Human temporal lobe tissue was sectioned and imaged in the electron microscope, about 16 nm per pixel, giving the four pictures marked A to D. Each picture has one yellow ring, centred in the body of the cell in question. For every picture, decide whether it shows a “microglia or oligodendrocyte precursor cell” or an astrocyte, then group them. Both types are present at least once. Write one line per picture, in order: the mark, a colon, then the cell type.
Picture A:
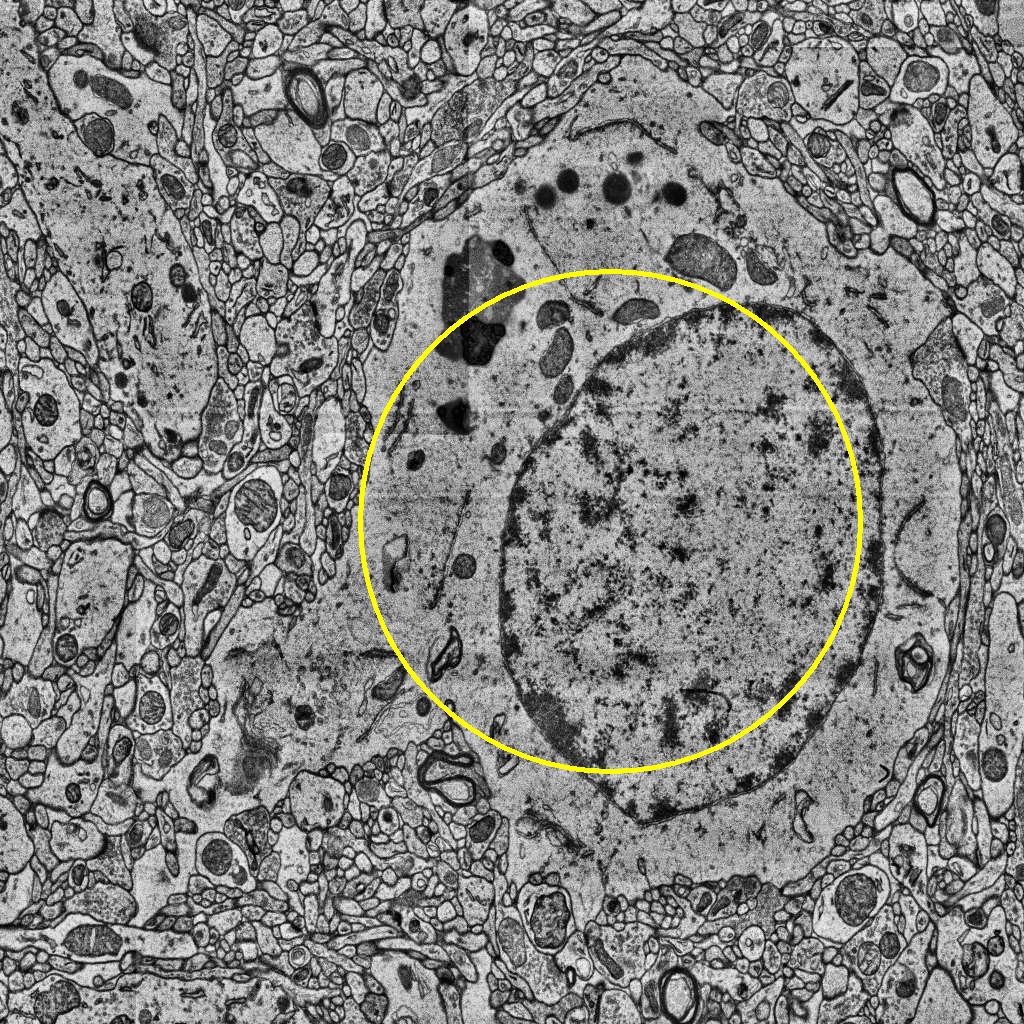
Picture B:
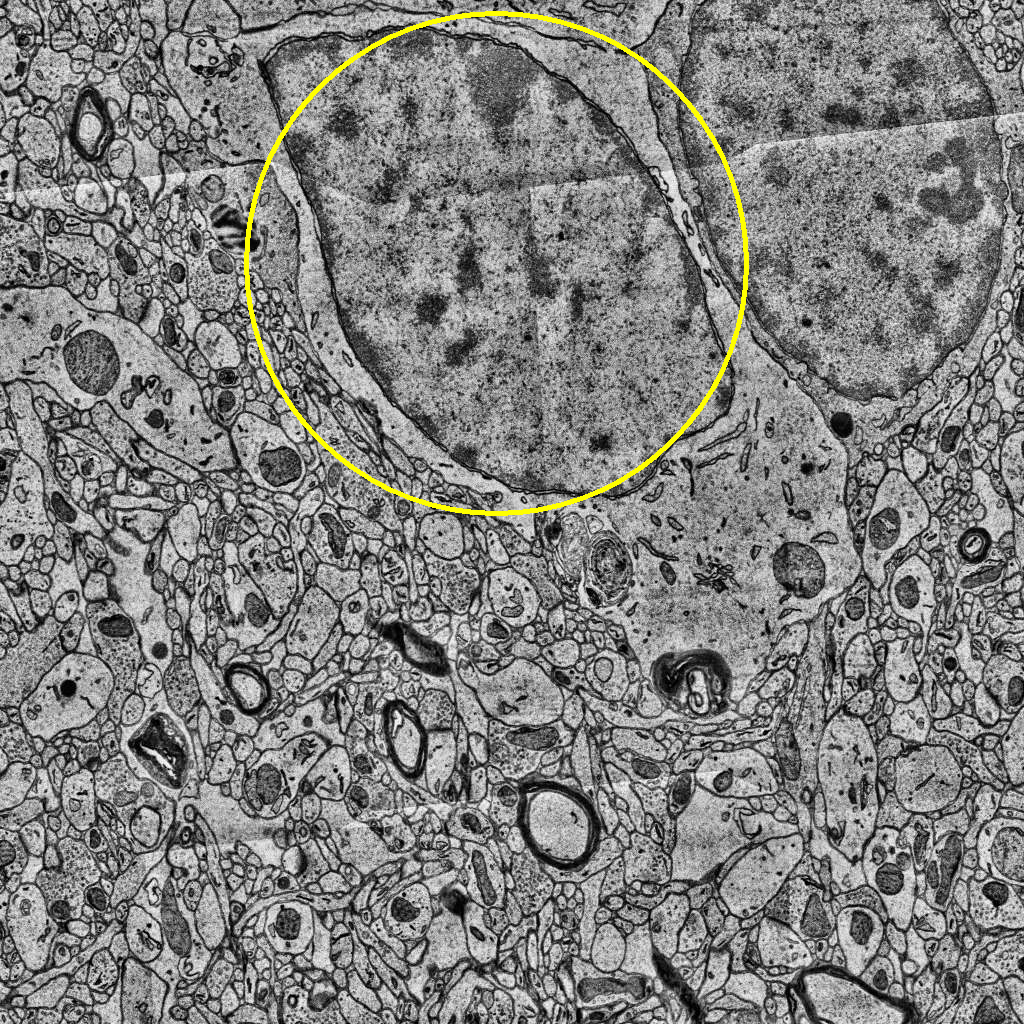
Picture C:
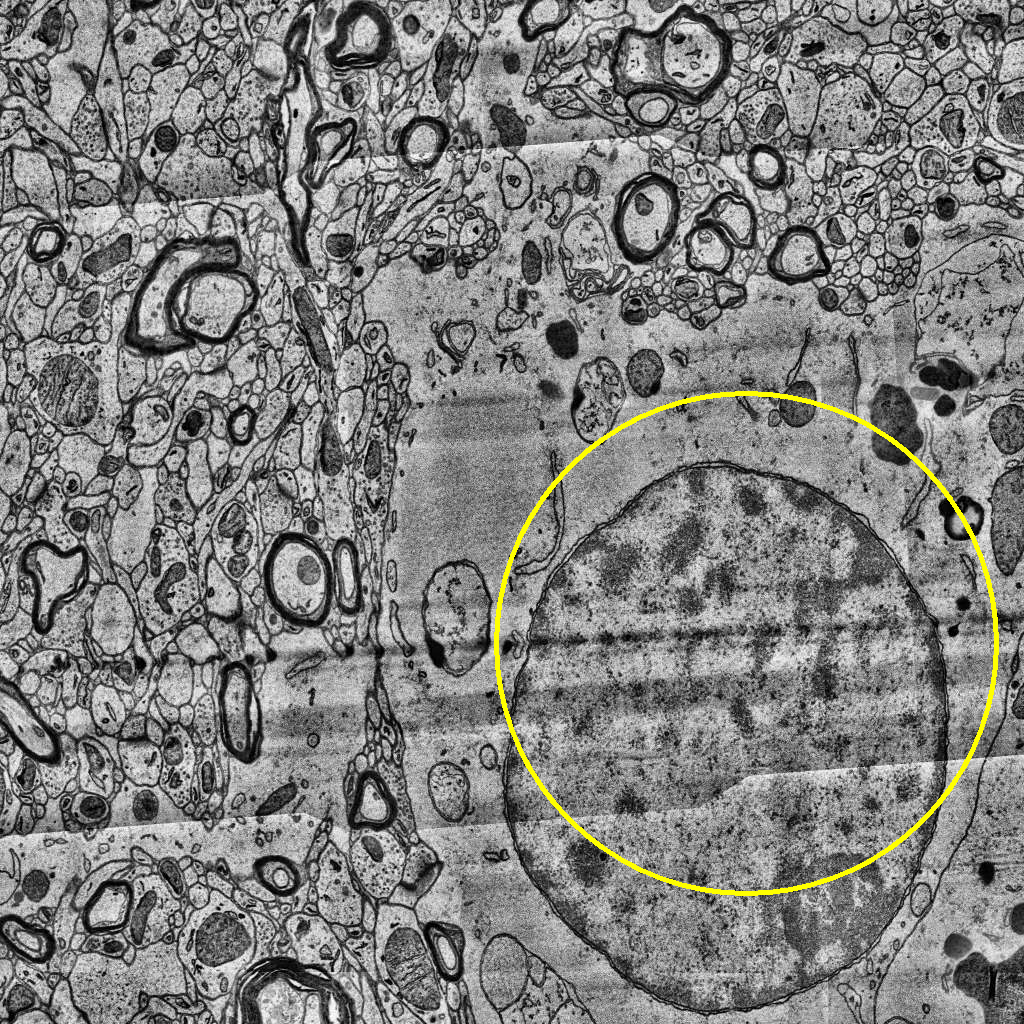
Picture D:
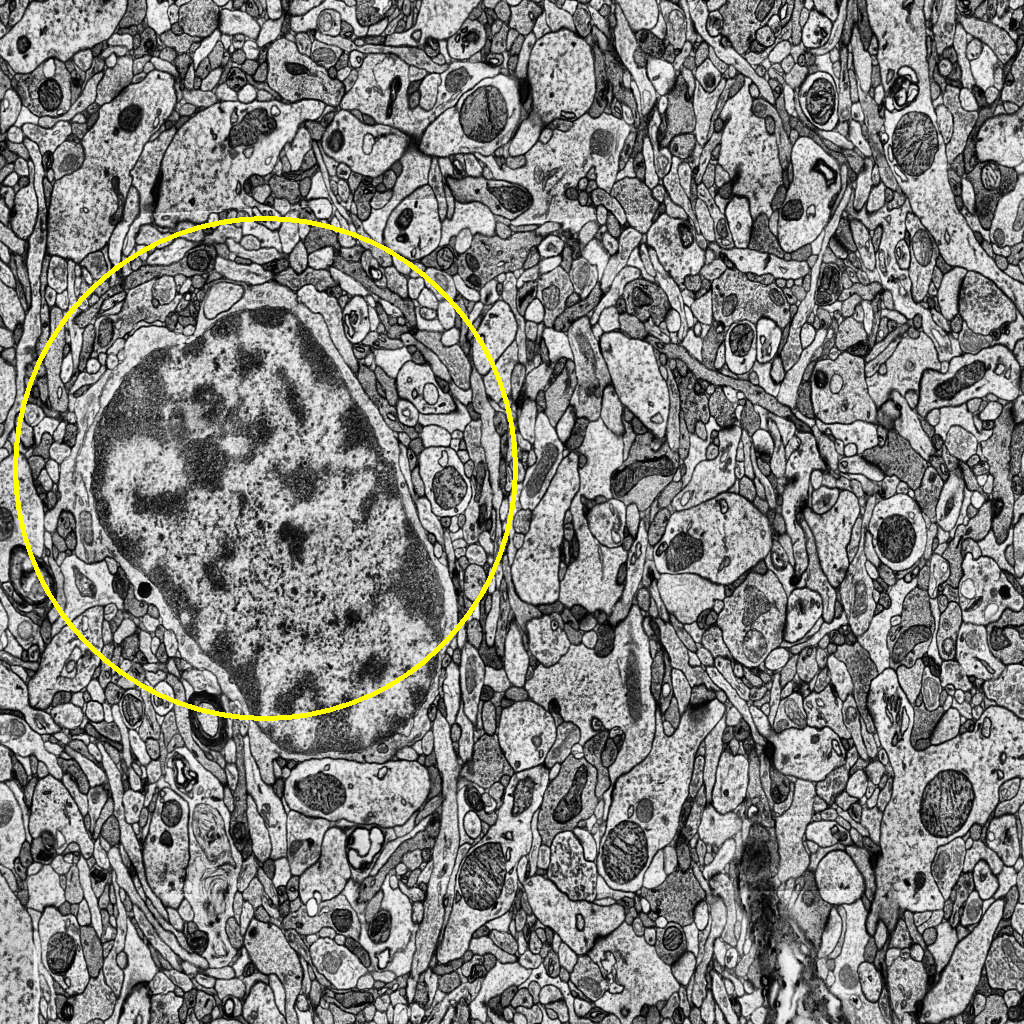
A: astrocyte
B: microglia or oligodendrocyte precursor cell
C: astrocyte
D: microglia or oligodendrocyte precursor cell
